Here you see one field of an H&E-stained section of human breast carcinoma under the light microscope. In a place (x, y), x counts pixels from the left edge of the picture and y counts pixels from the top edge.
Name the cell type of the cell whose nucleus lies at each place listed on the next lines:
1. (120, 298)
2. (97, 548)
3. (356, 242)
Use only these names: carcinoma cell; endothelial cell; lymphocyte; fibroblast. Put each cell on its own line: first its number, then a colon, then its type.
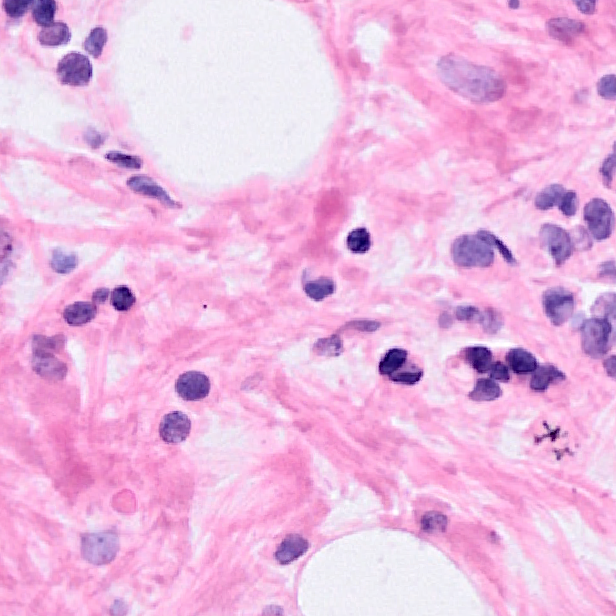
1: lymphocyte
2: fibroblast
3: lymphocyte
